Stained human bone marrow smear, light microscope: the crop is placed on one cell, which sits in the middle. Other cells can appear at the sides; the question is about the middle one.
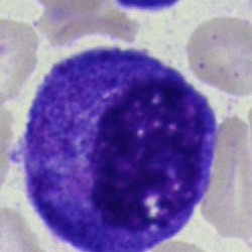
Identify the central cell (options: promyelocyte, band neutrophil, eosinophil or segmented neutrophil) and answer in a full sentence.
By type, the central cell of the crop is a promyelocyte.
